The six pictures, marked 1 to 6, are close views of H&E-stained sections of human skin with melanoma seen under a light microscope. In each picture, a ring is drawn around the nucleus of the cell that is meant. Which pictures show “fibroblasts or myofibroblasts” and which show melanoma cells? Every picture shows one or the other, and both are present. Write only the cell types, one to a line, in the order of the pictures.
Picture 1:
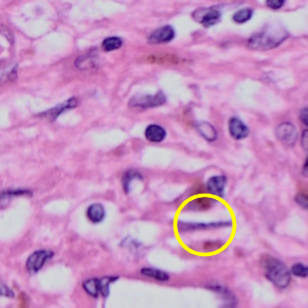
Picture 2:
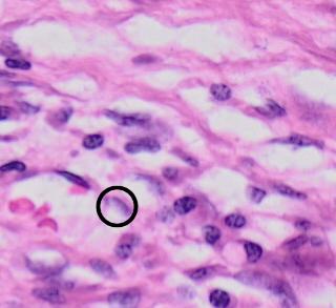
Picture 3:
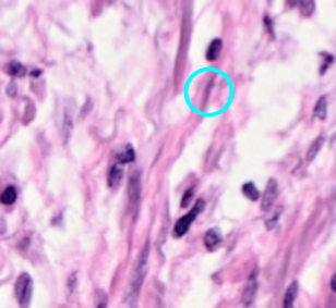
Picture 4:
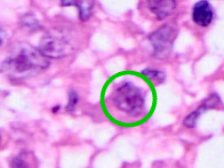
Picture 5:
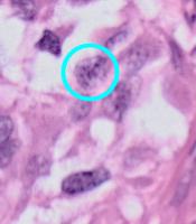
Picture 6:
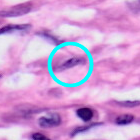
fibroblast or myofibroblast
fibroblast or myofibroblast
fibroblast or myofibroblast
melanoma cell
melanoma cell
fibroblast or myofibroblast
